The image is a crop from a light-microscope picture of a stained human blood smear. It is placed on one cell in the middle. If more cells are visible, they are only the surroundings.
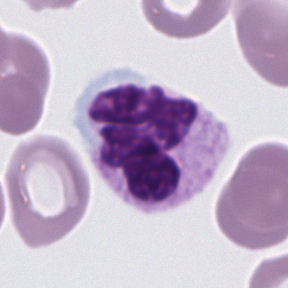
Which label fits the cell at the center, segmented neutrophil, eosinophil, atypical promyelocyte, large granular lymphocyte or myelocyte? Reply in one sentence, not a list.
For this crop, the cell in the middle is a segmented neutrophil.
